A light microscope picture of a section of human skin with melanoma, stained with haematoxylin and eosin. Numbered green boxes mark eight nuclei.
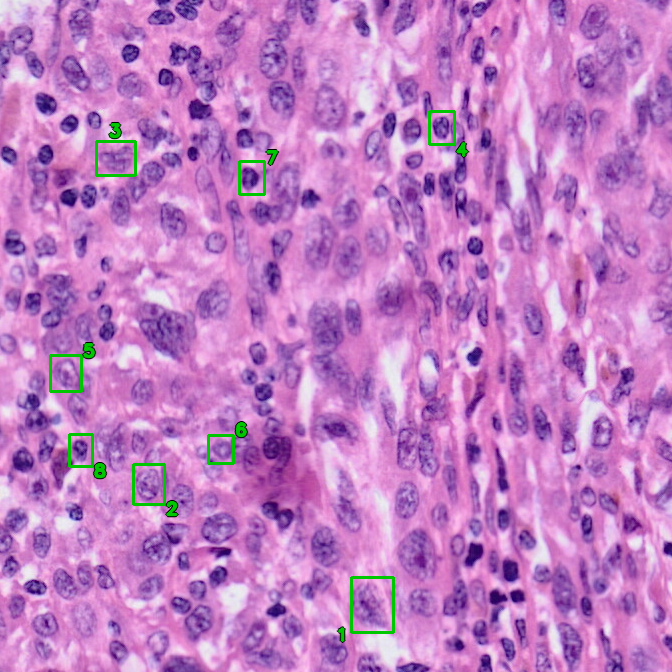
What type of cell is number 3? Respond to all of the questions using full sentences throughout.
In this section, number 3 marks a melanoma cell.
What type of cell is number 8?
Cell 8 should be recorded as a lymphocyte.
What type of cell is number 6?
The cell that is numbered 6 is a melanoma cell.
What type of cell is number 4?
Numbered cell 4 is a lymphocyte in this tissue section.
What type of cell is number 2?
The cell to which the number 2 is assigned is a melanoma cell.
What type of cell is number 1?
The cell given label 1 is a melanoma cell.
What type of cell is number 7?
That cell with number 7 is a lymphocyte.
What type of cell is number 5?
The cell given label 5 is a melanoma cell.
